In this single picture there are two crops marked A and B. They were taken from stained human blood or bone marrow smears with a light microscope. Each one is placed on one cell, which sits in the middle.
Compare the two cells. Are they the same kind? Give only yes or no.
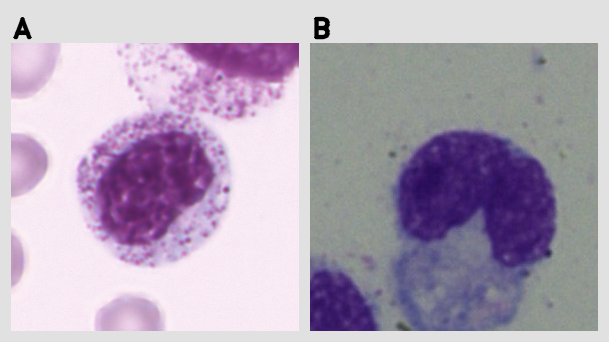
yes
